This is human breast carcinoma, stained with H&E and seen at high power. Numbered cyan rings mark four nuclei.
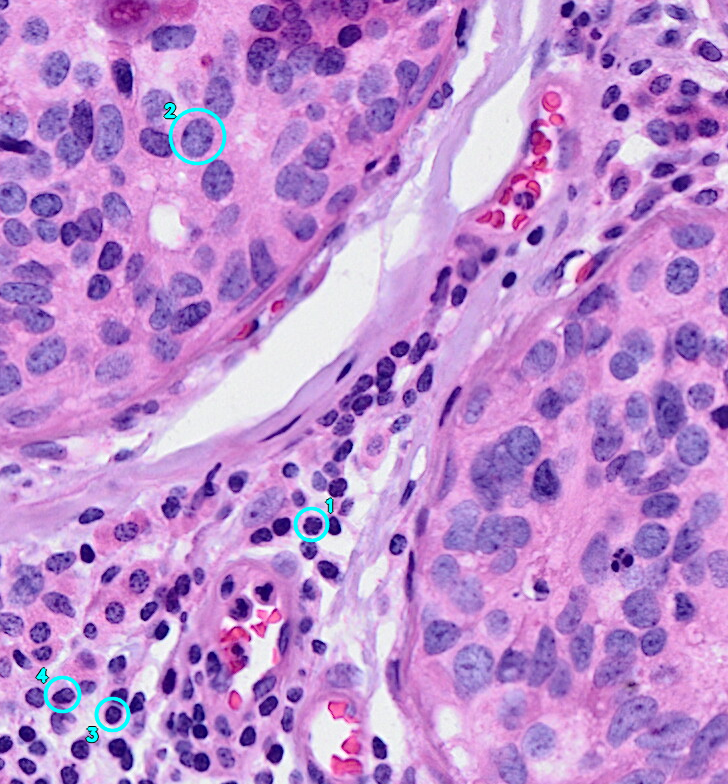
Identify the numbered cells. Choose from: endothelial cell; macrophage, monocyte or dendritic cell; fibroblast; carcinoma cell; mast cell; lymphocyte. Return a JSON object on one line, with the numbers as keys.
{"1": "lymphocyte", "2": "carcinoma cell", "3": "lymphocyte", "4": "lymphocyte"}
